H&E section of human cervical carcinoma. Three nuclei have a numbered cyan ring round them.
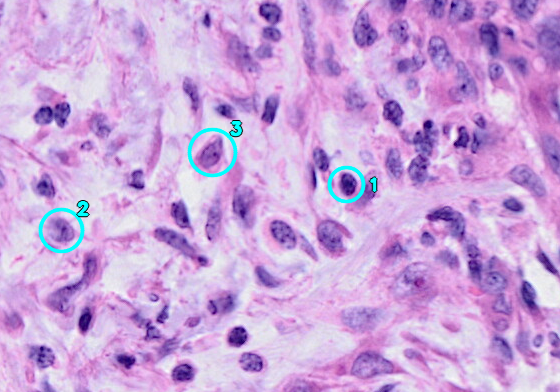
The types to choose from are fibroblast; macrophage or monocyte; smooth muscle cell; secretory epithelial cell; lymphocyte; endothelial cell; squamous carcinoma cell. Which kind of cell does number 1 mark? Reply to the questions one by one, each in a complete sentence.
The cell identified by the number 1 is a lymphocyte.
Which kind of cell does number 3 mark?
Heads up, the cell numbered 3 is a macrophage or monocyte.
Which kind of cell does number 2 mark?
Recognised here as a fibroblast is the cell numbered 2.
